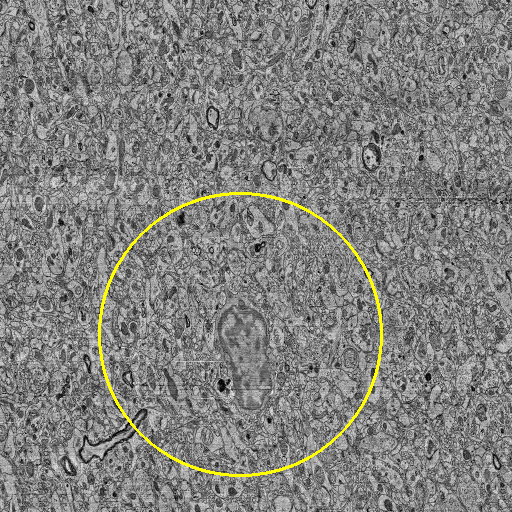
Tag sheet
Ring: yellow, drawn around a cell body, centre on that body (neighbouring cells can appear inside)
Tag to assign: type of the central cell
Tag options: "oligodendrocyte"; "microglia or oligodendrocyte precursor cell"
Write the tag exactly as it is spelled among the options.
oligodendrocyte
